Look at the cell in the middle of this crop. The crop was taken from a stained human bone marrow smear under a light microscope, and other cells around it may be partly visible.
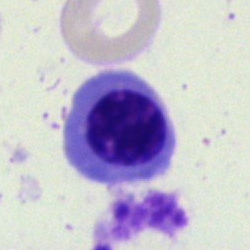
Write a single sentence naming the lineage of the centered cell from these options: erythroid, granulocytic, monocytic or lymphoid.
The lineage to which the central cell belongs is erythroid.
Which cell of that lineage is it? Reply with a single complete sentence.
The cell of interest, located centrally, is an erythroblast.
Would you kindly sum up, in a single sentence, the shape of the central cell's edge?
If you check the edge, you will find it smooth without projections.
